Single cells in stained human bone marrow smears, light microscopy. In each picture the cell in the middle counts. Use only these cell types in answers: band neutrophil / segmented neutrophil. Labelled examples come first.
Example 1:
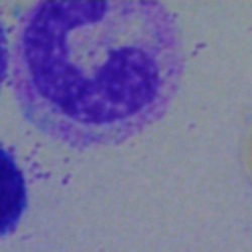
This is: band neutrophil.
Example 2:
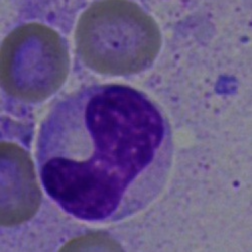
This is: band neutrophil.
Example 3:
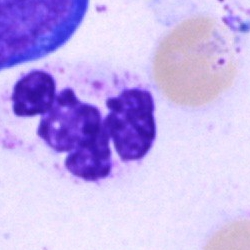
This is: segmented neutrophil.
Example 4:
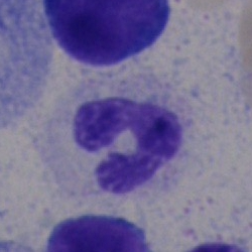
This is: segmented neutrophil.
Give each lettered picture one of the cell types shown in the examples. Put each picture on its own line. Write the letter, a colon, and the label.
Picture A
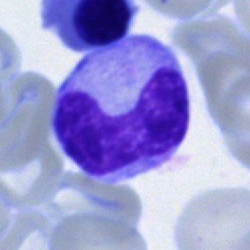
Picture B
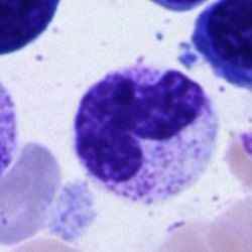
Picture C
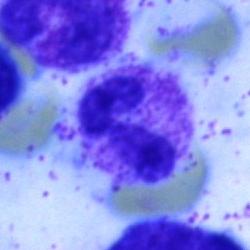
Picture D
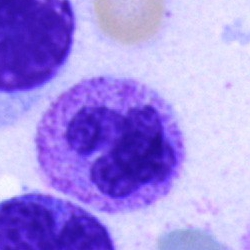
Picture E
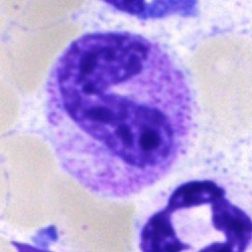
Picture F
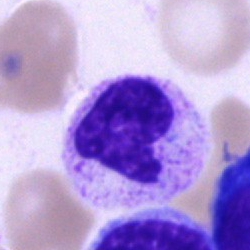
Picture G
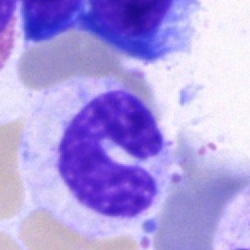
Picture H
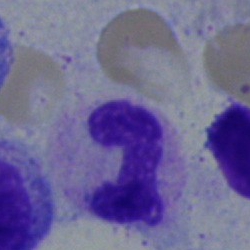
A: band neutrophil.
B: band neutrophil.
C: segmented neutrophil.
D: segmented neutrophil.
E: band neutrophil.
F: segmented neutrophil.
G: band neutrophil.
H: band neutrophil.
